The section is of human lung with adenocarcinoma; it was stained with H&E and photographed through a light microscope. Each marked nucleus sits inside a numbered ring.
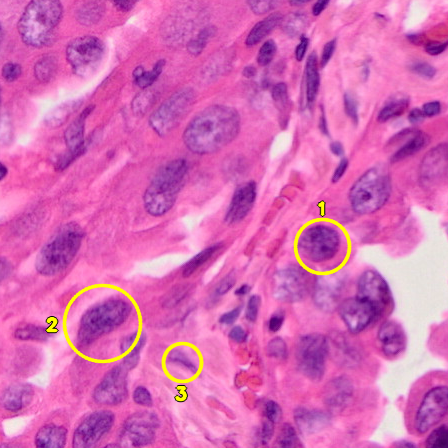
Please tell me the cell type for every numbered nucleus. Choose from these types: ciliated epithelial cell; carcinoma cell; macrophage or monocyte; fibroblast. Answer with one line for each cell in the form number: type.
1: carcinoma cell
2: carcinoma cell
3: fibroblast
